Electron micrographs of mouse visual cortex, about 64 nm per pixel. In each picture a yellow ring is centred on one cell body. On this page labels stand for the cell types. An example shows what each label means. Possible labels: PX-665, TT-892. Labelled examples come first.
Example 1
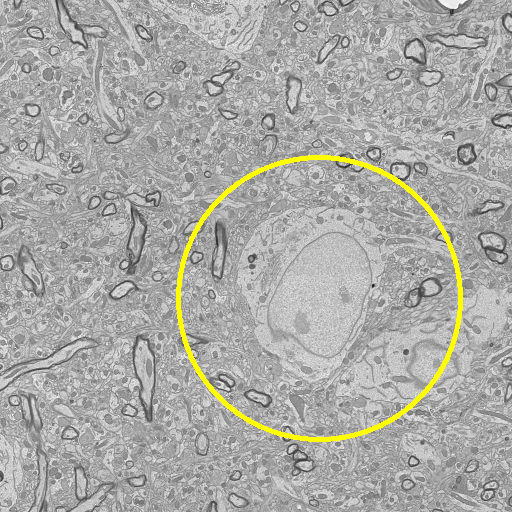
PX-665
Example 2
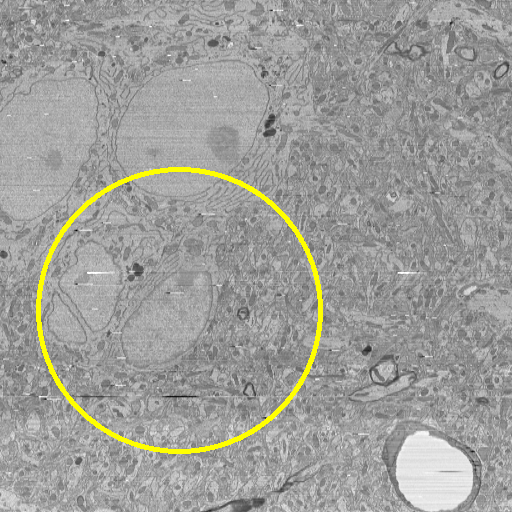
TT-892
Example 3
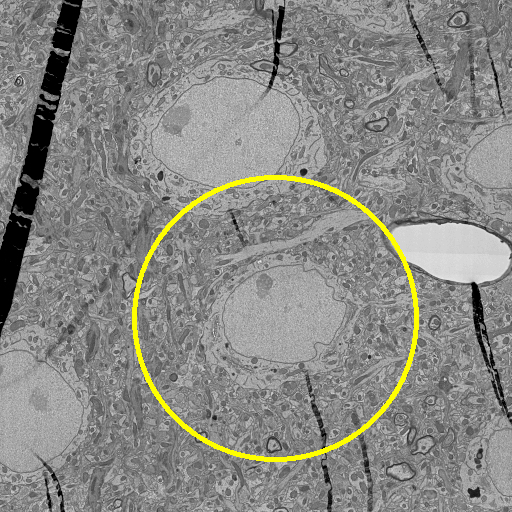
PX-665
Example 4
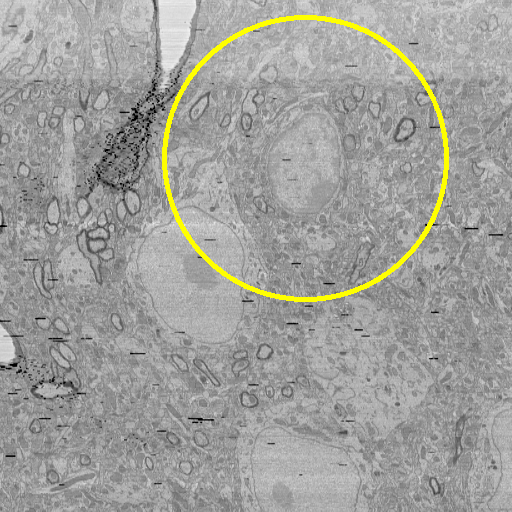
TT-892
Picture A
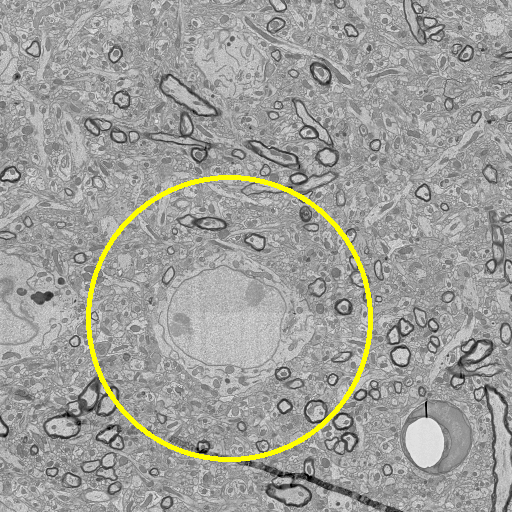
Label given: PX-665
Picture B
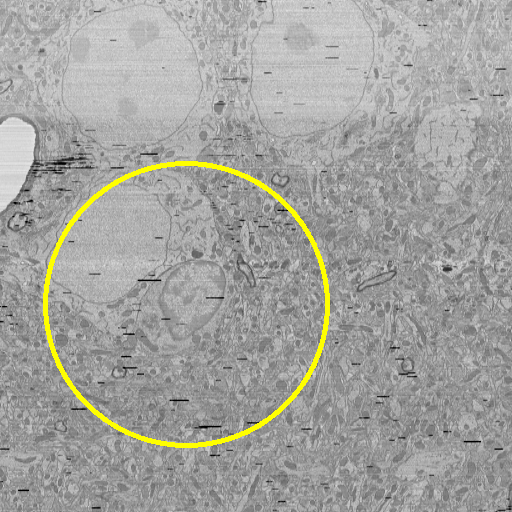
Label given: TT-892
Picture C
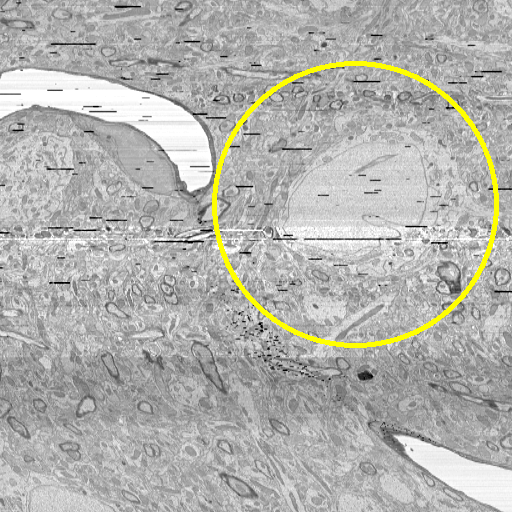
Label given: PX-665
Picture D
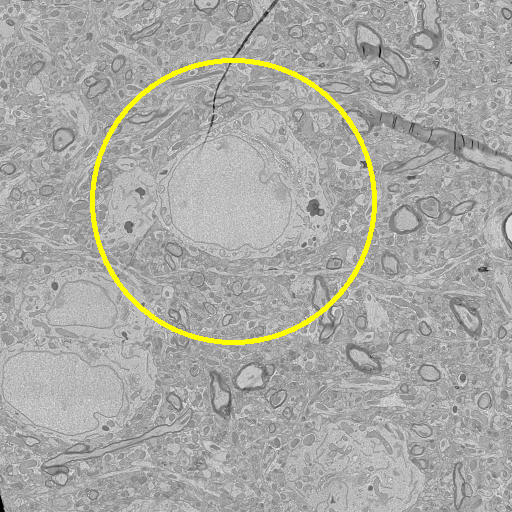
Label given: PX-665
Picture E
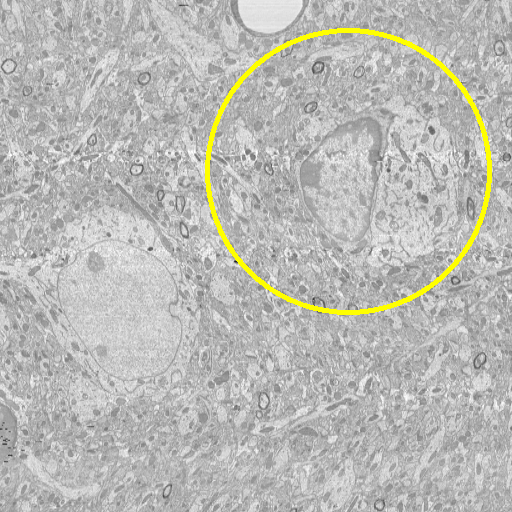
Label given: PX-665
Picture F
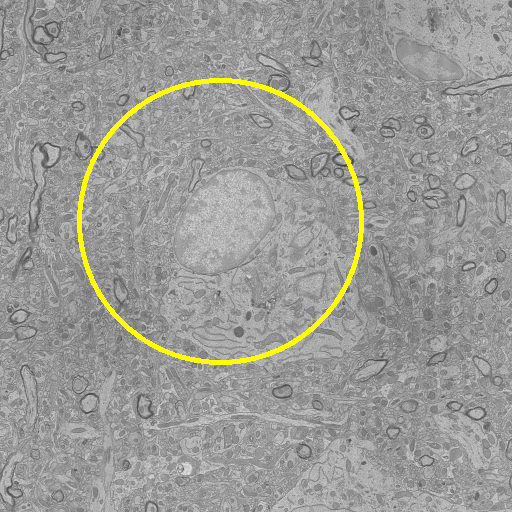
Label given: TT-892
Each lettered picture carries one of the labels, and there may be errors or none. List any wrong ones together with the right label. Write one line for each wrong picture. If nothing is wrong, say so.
E: not PX-665 but TT-892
